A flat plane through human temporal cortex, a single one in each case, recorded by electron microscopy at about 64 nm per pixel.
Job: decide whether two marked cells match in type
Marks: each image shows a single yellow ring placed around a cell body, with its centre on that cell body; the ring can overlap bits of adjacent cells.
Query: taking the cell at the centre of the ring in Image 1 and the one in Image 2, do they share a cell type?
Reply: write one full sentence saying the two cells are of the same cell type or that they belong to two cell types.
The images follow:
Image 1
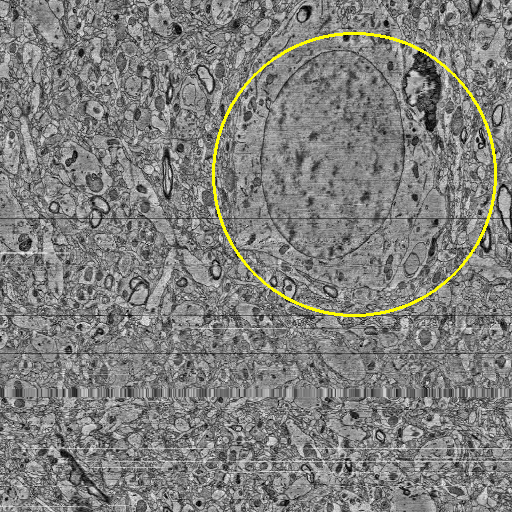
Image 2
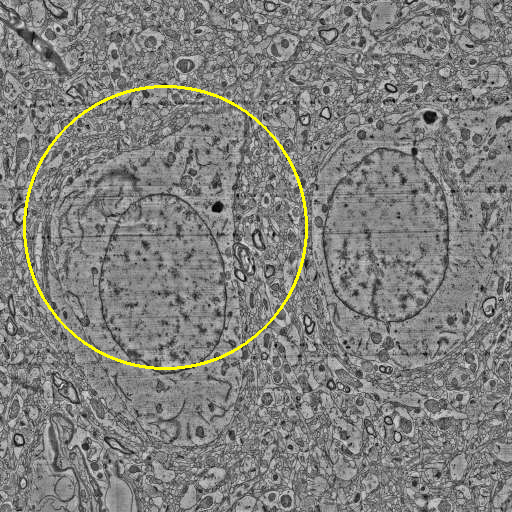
The cells at the ring centres in Image 1 and Image 2 are of the same cell type.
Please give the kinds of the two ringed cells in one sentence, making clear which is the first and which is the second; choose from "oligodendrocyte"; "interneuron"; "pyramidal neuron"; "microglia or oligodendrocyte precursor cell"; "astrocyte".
Each of the two cells is a pyramidal neuron.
